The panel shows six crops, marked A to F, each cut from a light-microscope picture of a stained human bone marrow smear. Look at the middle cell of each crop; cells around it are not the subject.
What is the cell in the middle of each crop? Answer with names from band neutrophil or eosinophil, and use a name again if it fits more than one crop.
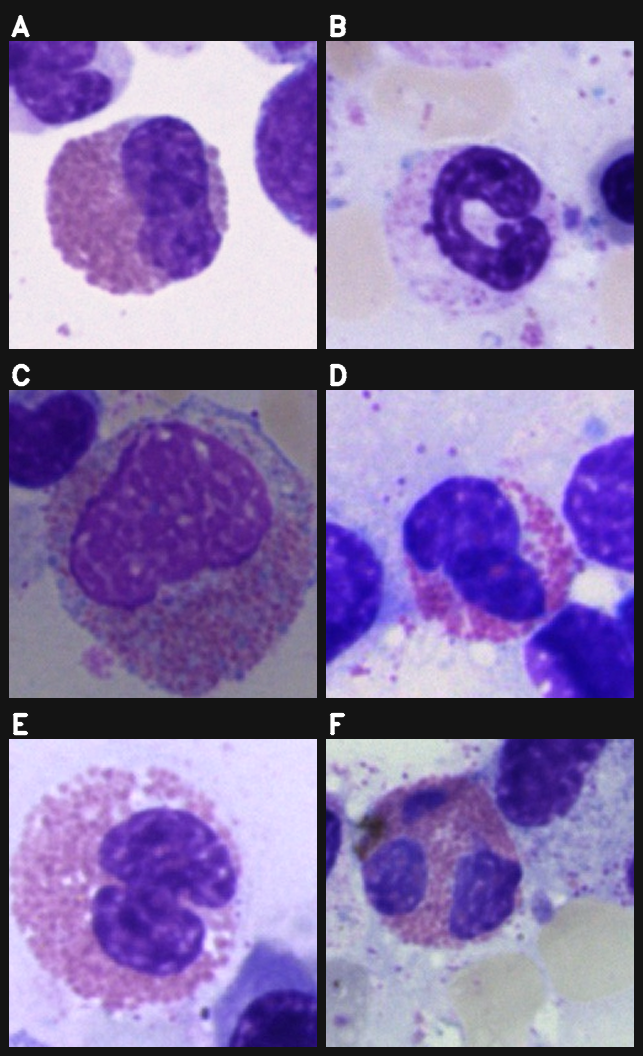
A: eosinophil
B: band neutrophil
C: eosinophil
D: eosinophil
E: eosinophil
F: eosinophil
